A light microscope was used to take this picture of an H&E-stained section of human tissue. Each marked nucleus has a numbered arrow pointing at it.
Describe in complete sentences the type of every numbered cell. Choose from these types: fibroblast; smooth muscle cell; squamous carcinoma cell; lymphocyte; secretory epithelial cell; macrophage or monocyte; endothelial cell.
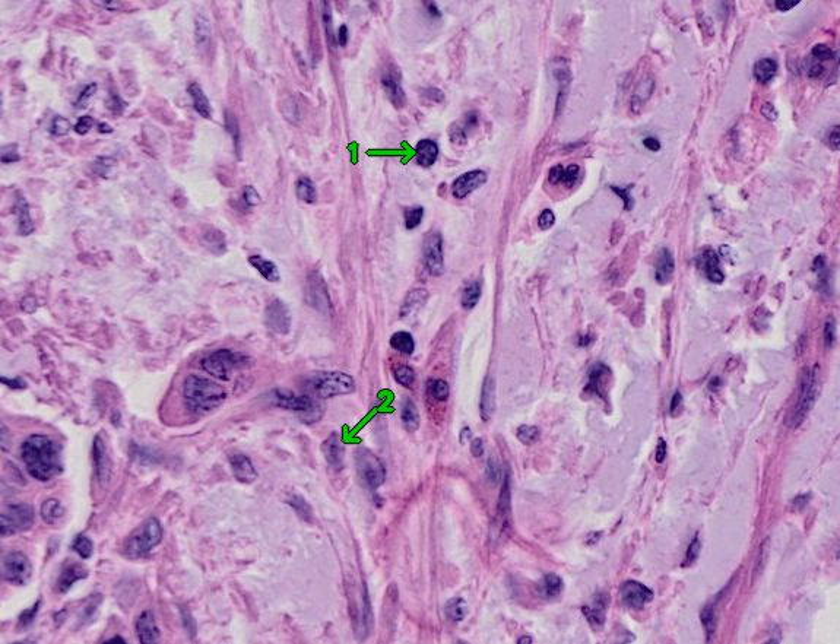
Cell 1 is a lymphocyte and cell 2 is a fibroblast.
